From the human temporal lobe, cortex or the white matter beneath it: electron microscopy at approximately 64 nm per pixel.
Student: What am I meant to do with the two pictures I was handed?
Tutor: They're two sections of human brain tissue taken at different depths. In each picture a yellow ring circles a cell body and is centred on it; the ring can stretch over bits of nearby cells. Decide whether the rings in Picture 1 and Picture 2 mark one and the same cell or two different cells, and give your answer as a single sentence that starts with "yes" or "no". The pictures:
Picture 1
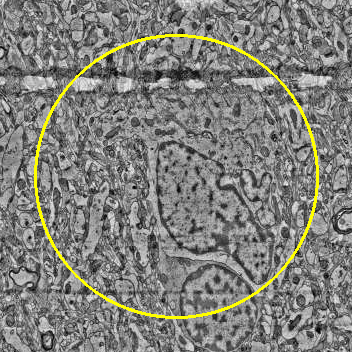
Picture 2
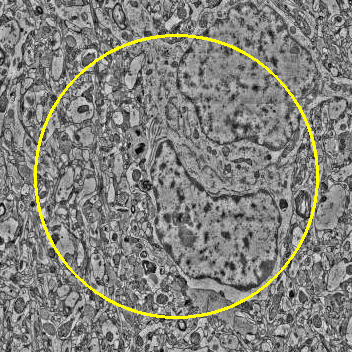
Yes, the two yellow circles hold the same cell.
